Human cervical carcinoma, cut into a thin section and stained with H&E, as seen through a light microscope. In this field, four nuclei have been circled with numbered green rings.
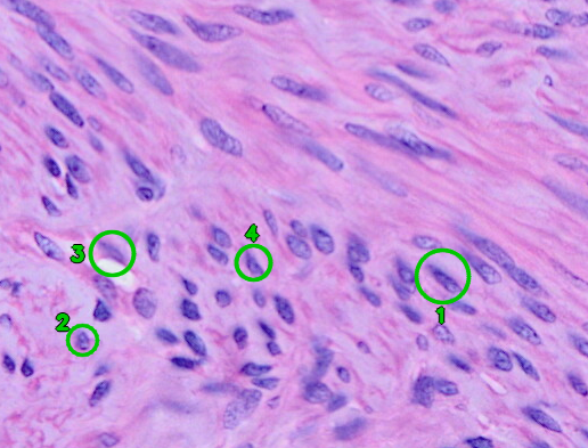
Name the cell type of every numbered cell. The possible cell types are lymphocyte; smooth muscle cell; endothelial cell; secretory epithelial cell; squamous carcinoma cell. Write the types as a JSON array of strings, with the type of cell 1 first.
["smooth muscle cell", "smooth muscle cell", "endothelial cell", "smooth muscle cell"]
